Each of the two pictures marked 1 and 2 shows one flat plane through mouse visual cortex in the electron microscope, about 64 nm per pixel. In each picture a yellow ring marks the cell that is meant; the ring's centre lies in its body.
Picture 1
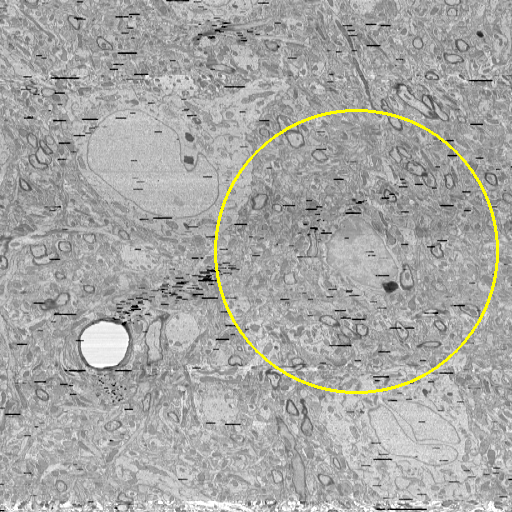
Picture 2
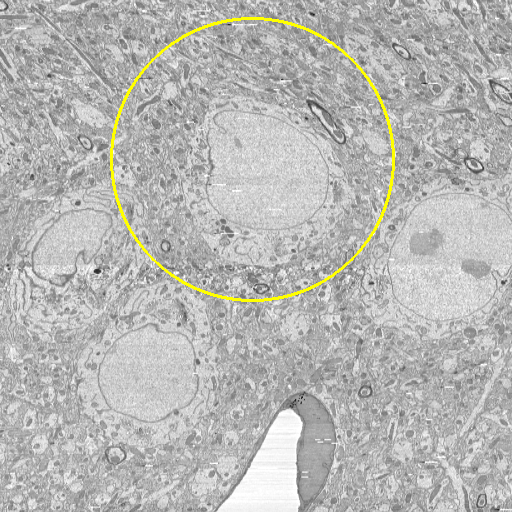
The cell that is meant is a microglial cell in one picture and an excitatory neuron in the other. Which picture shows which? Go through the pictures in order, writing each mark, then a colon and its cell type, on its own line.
1: microglial cell
2: excitatory neuron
